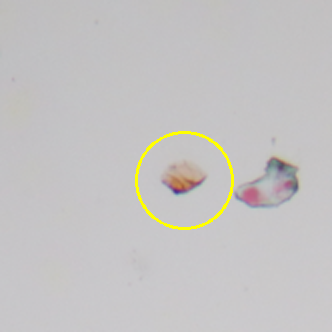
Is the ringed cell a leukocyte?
No, it is a cornified epithelial cell.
